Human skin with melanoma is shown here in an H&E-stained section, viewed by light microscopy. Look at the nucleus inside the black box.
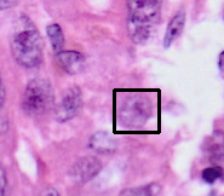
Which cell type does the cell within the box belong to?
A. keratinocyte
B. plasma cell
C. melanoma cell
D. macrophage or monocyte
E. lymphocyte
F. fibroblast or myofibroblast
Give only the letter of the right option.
C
